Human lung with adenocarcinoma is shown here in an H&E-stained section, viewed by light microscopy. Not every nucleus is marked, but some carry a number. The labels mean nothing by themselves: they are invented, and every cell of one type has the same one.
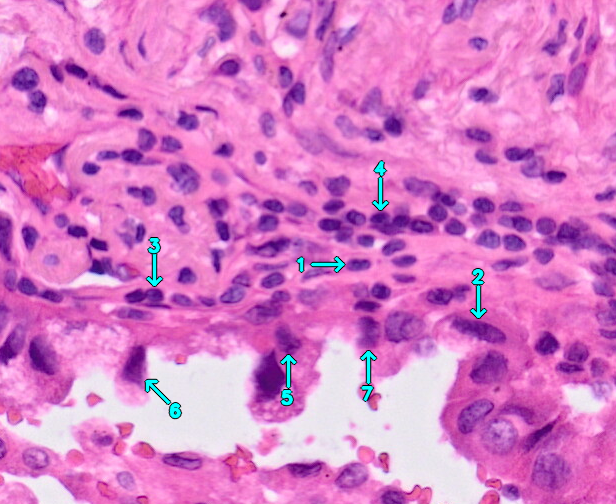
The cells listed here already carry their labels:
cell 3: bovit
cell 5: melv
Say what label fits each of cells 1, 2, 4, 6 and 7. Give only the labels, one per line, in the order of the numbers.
bovit
melv
bovit
melv
melv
